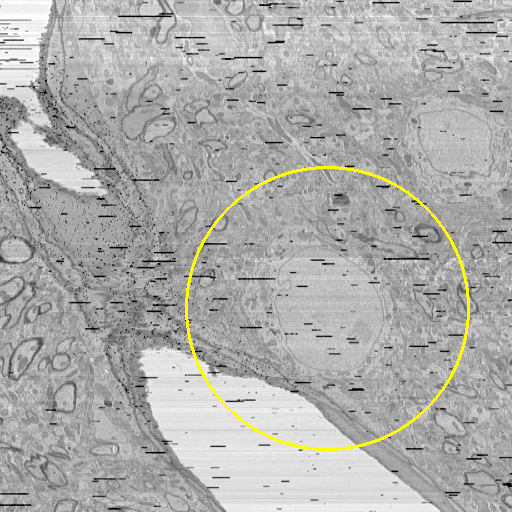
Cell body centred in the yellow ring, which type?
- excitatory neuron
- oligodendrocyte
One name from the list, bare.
excitatory neuron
